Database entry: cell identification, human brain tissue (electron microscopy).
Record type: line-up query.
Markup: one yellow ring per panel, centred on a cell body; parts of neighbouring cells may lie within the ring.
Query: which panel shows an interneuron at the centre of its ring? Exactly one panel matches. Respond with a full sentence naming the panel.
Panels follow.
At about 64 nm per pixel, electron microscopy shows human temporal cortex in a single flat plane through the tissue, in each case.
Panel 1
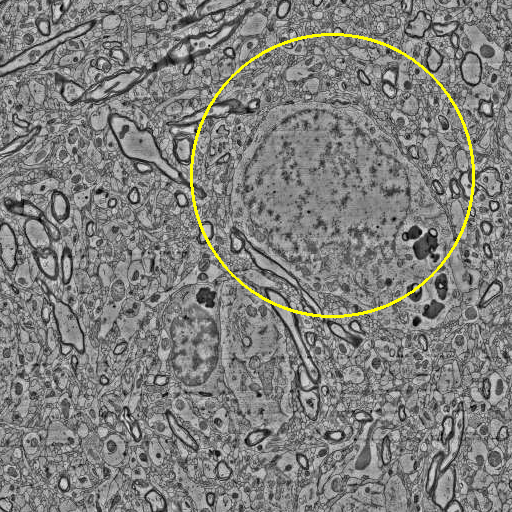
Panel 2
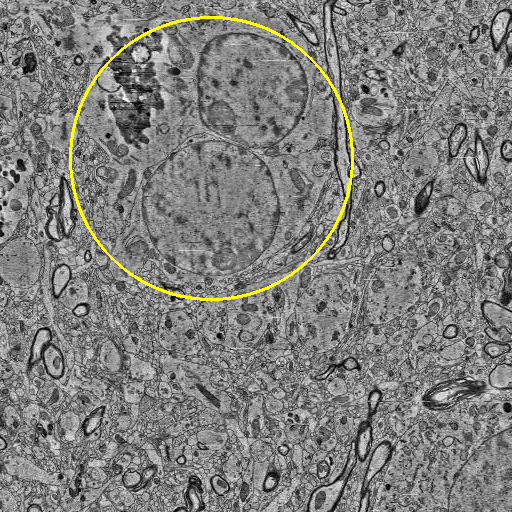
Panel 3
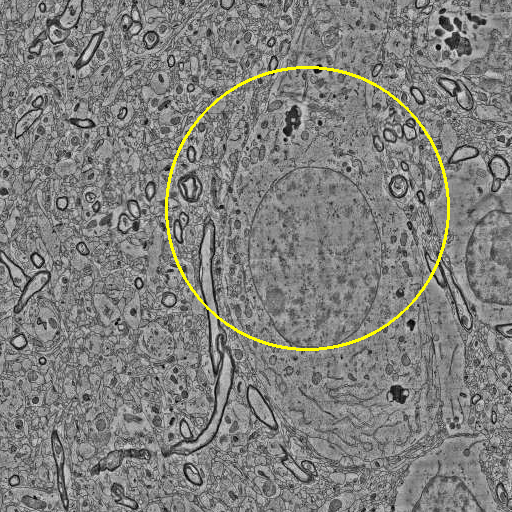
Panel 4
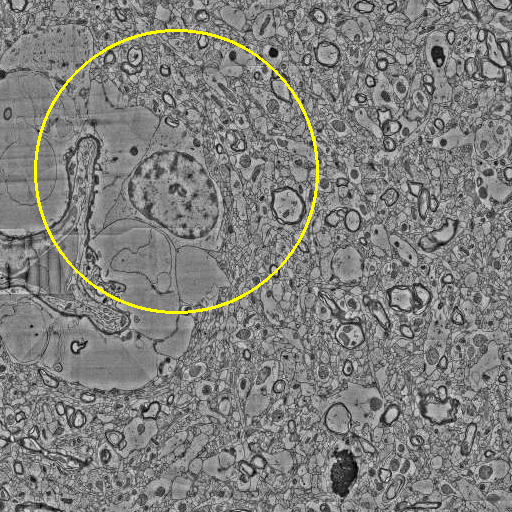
Panel 1 shows it at the centre of the ring.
